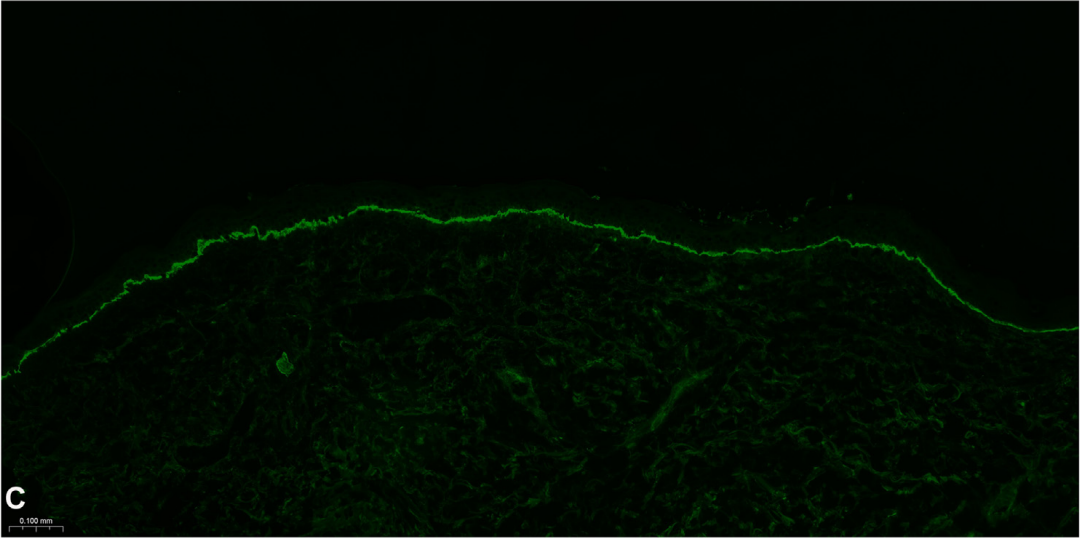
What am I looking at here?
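Skin in section at low power, seen as dark tissue against a black background. A thin, sharp and continuous bright green line follows the wavy junction between the epidermis and the dermis along the whole width of the section. The epidermis above and the dermis below show only faint greenish background, with fibre-like texture in the dermis.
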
